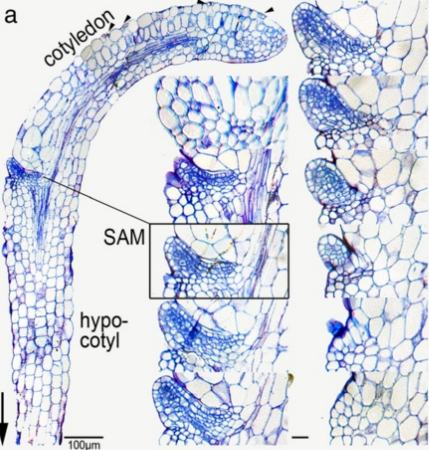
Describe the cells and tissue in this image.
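This is a lengthwise section through a seedling, with the stalk-like lower part and a single long leaf-like organ curving up and over to one side. The tissues are stained blue to purple; large, thin-walled pale cells fill most of the organ, while strands of narrow, elongated, more darkly stained cells run through its middle as the vascular tissue. At the junction sits a small dome of tightly packed, small, densely stained cells, and the column of magnified sections beside it shows this dome from section to section. The outermost layer is a single row of cells, with small cells along it marked by arrowheads.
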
